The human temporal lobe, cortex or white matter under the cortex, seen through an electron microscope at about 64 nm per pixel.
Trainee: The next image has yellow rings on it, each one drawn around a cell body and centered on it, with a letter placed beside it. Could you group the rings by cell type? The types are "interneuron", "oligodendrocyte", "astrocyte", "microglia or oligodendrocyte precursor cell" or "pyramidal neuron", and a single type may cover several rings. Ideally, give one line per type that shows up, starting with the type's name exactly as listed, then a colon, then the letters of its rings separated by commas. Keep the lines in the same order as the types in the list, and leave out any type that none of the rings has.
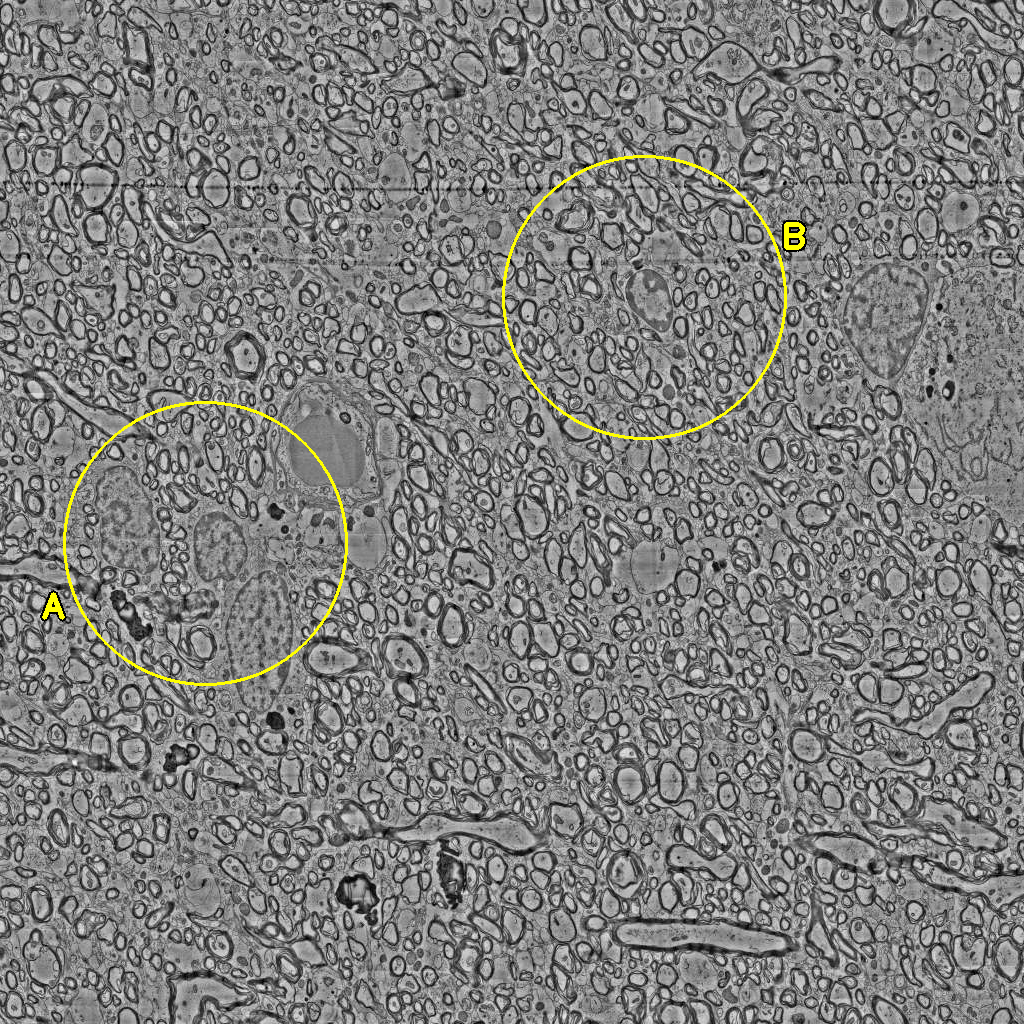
oligodendrocyte: A
microglia or oligodendrocyte precursor cell: B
